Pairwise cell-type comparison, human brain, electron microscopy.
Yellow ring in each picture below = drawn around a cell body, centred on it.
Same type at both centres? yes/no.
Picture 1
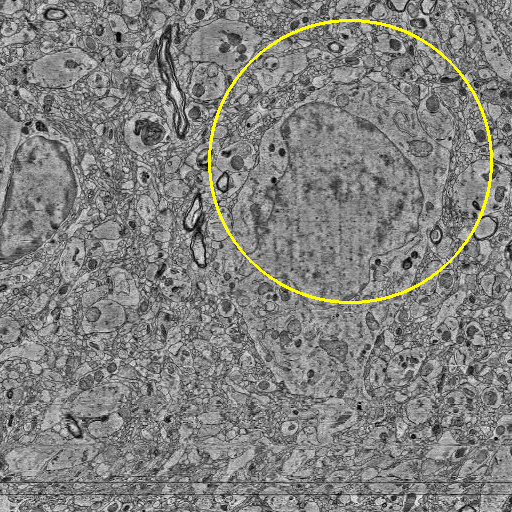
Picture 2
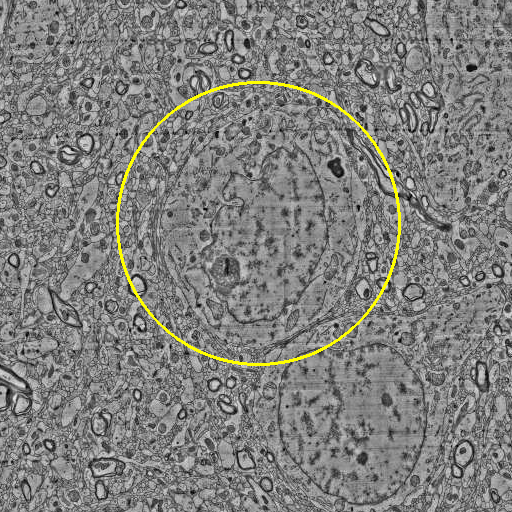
no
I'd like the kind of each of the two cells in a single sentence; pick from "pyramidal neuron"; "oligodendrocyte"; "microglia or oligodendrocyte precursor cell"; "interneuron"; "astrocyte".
The first ring marks an interneuron, and the second ring marks a pyramidal neuron.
